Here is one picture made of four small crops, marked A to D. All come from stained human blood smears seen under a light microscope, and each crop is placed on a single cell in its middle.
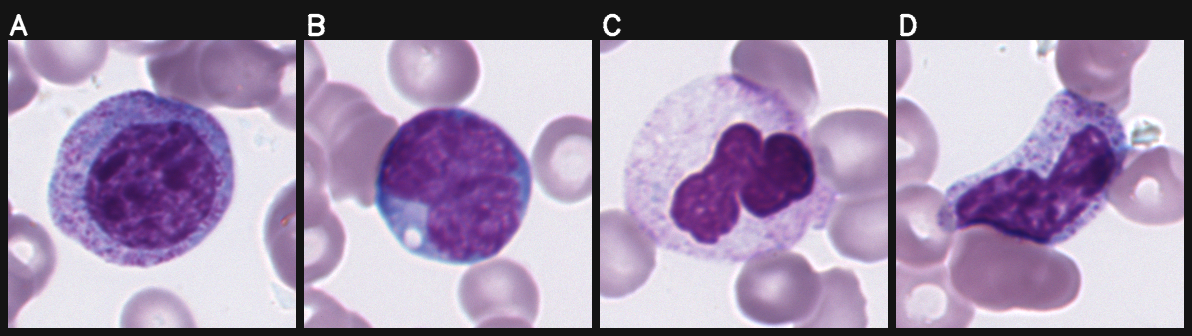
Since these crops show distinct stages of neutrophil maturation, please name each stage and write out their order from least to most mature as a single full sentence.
Least mature first and most mature last, the order is crop B (a myeloblast), crop A (a promyelocyte), crop D (a metamyelocyte) and crop C (a segmented neutrophil).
